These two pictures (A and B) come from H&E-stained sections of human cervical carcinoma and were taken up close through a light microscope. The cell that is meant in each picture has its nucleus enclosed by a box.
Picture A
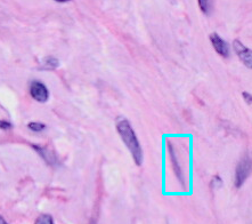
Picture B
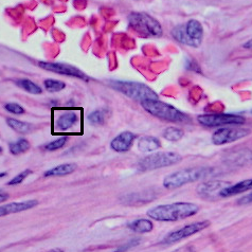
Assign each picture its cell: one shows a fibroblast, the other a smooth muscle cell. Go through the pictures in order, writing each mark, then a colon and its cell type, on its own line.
A: fibroblast
B: smooth muscle cell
